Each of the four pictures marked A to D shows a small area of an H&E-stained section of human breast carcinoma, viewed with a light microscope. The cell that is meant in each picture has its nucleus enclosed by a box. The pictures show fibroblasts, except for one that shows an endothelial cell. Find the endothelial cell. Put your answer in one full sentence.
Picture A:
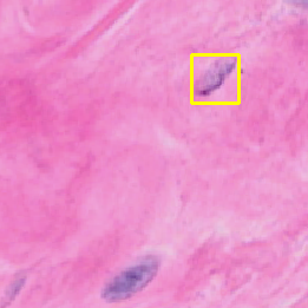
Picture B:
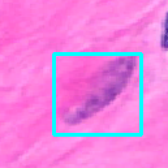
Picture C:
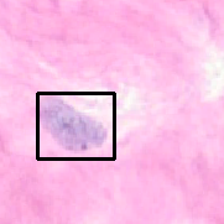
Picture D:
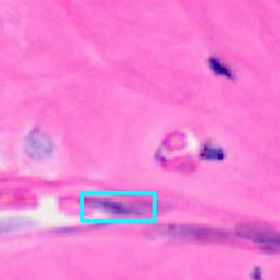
The picture with the endothelial cell is D.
